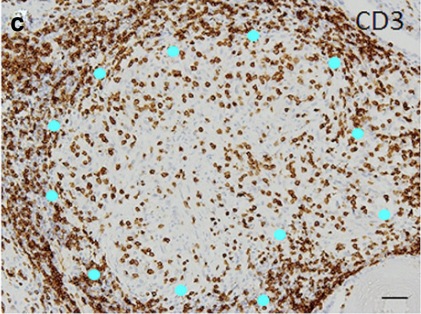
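Granuloma with lymphocyte collar: a pale central nodule of cells with oval nuclei is ringed by a dense band of small round brown-stained lymphocytes. Brown-stained small cells are also scattered within the pale centre, more sparsely than in the rim.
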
